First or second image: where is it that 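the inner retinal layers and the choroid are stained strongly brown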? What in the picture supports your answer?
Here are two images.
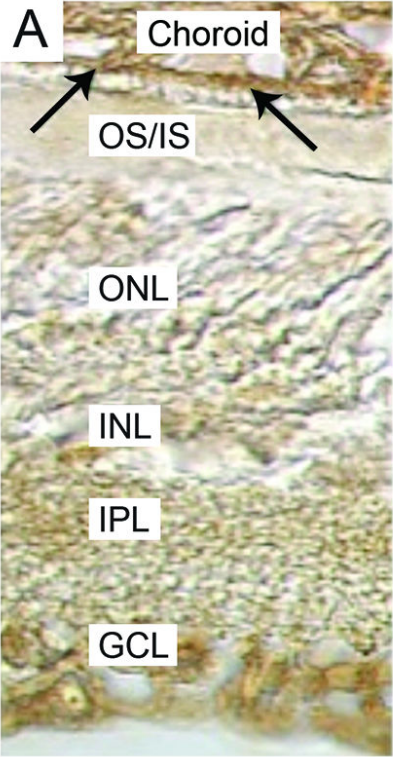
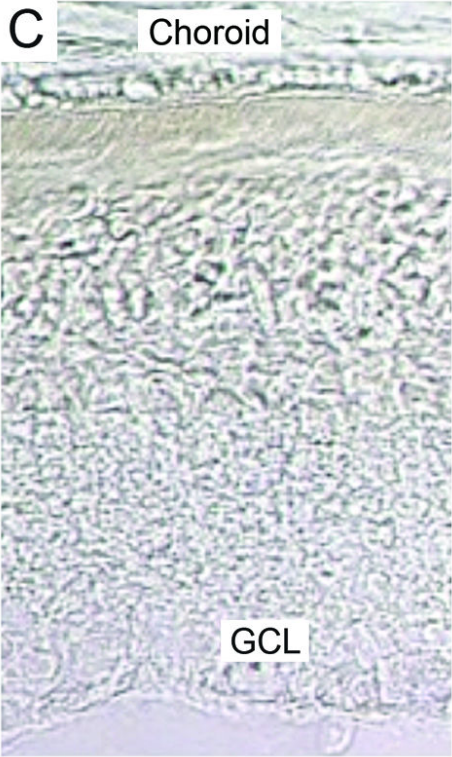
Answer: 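Second image: the retina and choroid appear grey-blue with essentially no brown staining. First image: the choroid, the innermost retinal layers and the bottom cell layer are clearly brown. On this evidence: the first image.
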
